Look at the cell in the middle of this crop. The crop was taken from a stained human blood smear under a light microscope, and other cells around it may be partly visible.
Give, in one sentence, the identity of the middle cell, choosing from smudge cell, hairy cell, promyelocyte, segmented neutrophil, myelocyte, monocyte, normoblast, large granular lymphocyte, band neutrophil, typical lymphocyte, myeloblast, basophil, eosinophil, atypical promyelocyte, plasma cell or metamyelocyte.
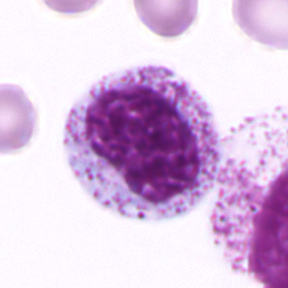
Standing at the centre of this crop is a metamyelocyte.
